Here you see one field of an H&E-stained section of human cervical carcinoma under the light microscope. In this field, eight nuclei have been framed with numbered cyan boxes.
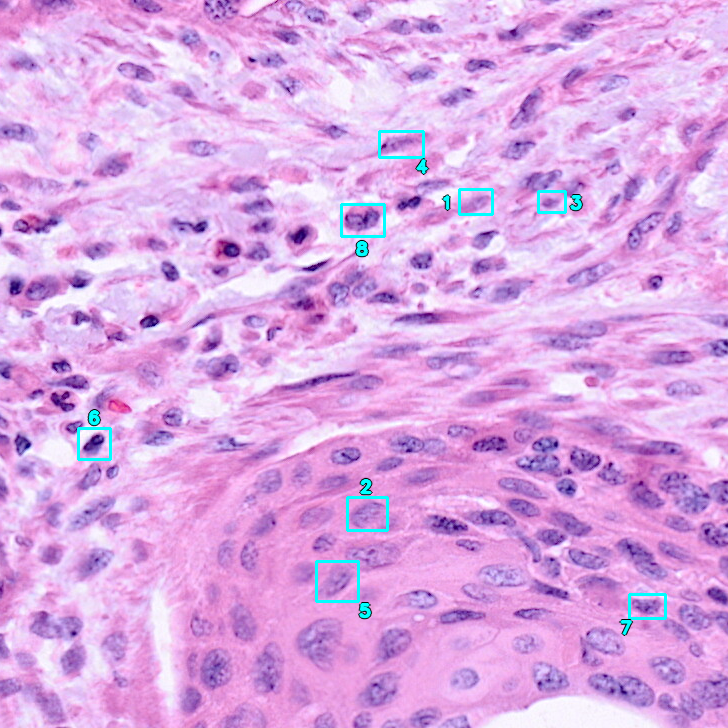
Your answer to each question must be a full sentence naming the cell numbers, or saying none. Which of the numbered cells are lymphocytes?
The nucleus labelled 6 alone belongs to a lymphocyte; the other marked nuclei do not.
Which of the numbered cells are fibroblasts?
The cells marked by the numbers 1, 3 and 4 are fibroblasts.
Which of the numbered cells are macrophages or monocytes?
Cell 8 is the only numbered cell that is a macrophage or monocyte.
